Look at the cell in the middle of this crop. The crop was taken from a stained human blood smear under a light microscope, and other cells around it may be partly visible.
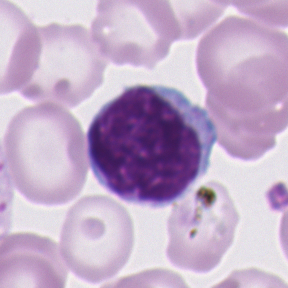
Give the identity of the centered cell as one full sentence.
The cell at the middle of the frame should be recorded as a typical lymphocyte.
